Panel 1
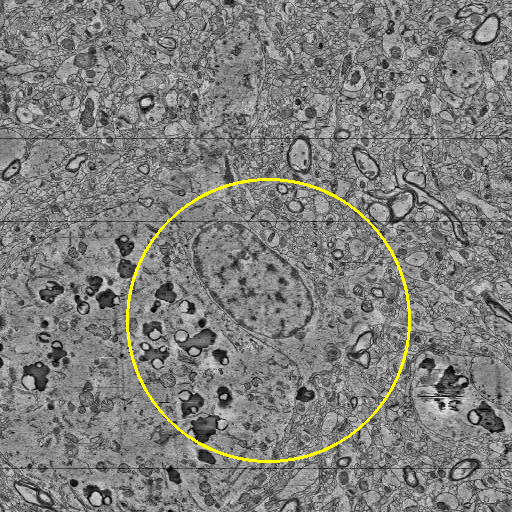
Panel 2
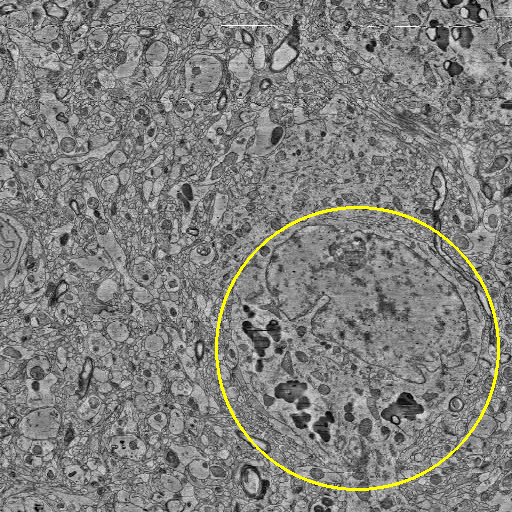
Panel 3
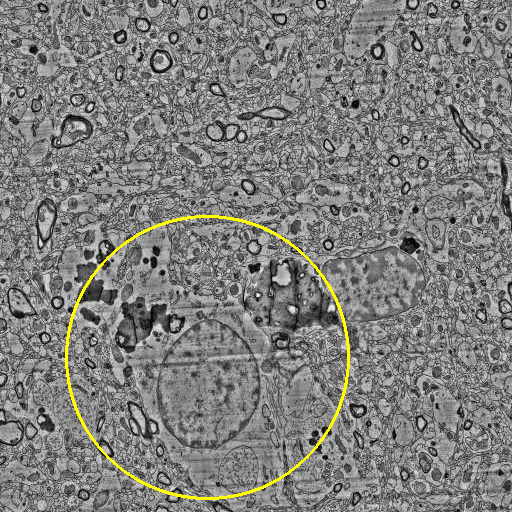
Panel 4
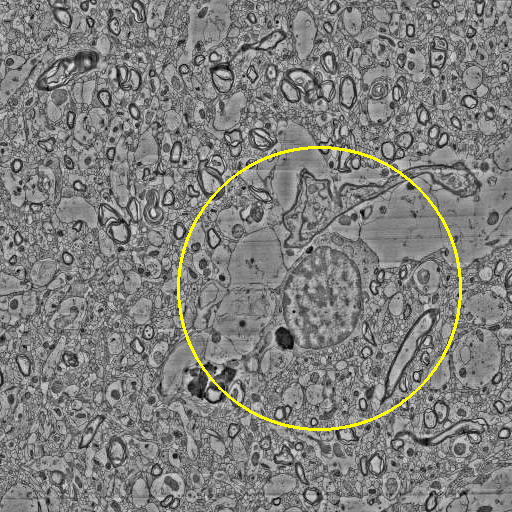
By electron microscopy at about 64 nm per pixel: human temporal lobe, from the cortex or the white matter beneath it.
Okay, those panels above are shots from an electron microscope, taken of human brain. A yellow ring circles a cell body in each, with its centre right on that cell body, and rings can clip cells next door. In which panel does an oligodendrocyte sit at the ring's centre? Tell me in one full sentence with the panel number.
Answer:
The cell you asked for sits at the ring's centre in panel 4.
